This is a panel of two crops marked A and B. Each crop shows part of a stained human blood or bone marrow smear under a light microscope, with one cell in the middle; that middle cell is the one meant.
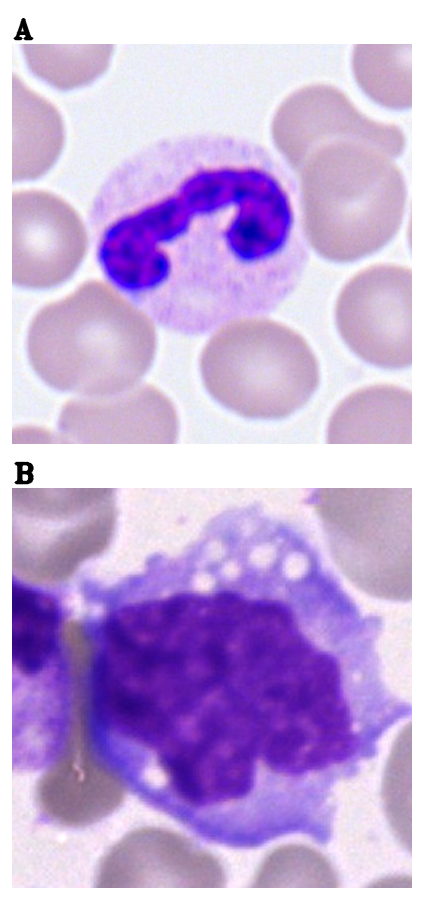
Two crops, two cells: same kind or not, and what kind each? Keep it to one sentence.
No, crop A gives us a band neutrophil and crop B gives us a monocyte.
